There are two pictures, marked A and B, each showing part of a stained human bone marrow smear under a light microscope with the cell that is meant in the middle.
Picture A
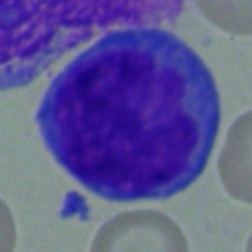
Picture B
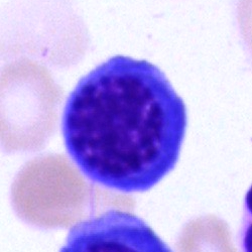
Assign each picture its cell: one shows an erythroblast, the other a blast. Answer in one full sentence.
Picture A is of a blast, and picture B is of an erythroblast.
